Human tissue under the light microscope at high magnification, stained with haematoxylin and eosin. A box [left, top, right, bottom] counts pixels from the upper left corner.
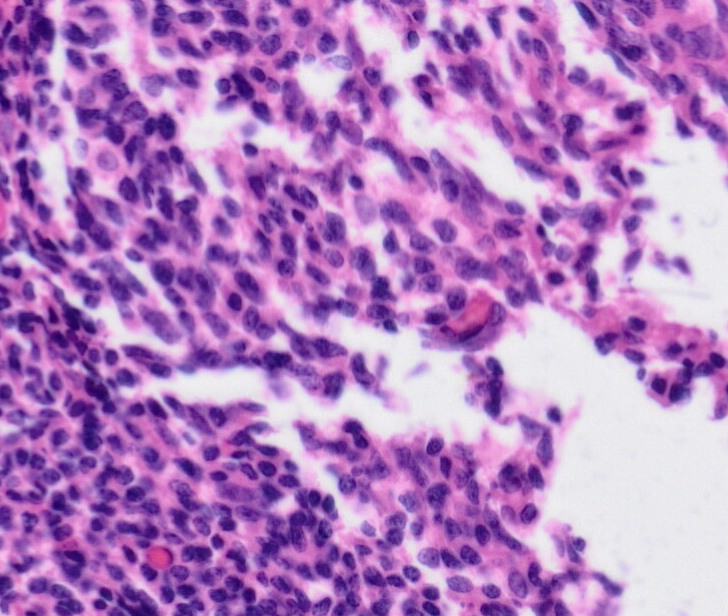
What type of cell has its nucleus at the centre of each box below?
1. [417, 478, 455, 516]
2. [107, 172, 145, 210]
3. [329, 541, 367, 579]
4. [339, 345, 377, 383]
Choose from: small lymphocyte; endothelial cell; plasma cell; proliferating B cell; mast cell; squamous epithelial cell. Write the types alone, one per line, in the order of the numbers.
proliferating B cell
proliferating B cell
small lymphocyte
proliferating B cell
